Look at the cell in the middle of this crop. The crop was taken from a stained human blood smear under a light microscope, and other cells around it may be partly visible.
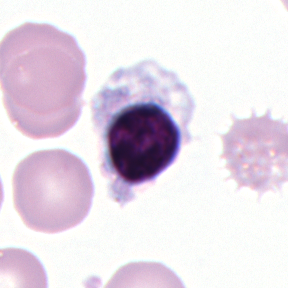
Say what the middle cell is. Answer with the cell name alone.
erythroblast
